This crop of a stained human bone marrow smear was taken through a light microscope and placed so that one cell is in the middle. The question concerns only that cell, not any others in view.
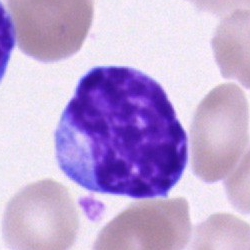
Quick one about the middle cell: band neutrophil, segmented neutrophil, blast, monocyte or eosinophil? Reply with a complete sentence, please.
The crop shows a blast in its centre.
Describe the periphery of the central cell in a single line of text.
A smooth, projection-free outline is what this cell has.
